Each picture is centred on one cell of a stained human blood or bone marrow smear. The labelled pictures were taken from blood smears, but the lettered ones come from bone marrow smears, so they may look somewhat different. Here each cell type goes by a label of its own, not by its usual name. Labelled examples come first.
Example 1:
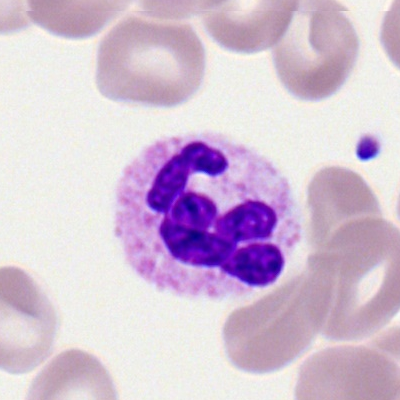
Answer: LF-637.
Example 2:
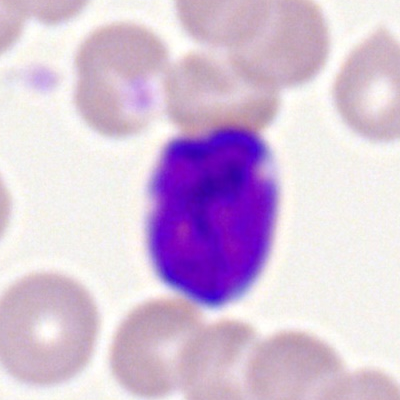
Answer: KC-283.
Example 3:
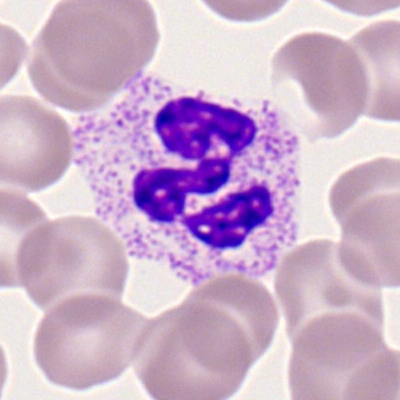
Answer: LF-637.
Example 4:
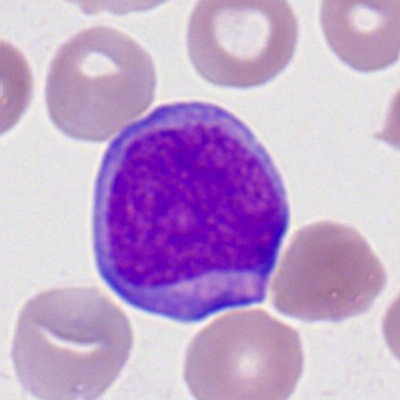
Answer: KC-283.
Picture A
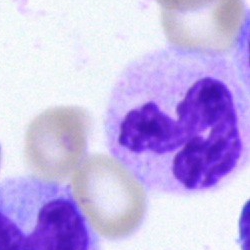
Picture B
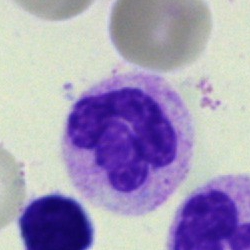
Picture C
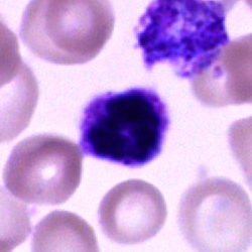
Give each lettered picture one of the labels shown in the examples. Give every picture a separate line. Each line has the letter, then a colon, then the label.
A: LF-637.
B: LF-637.
C: LF-637.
